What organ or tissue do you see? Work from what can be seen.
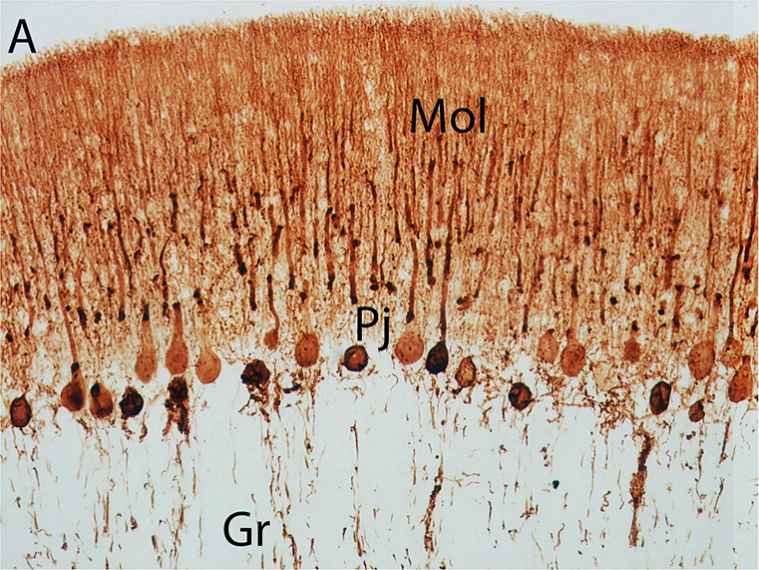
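Cerebellar cortex. A single row of large flask-shaped cell bodies lies between a cell-poor outer layer and an inner layer. Thick dendrites rise from the row of large cell bodies through the outer layer toward the surface in parallel, fan-like arbors.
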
